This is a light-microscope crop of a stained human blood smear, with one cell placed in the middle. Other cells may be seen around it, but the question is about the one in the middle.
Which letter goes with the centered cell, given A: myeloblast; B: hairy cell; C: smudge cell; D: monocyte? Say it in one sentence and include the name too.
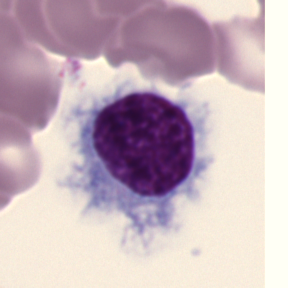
Option B is the keyed answer: the cell in the middle is a hairy cell.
